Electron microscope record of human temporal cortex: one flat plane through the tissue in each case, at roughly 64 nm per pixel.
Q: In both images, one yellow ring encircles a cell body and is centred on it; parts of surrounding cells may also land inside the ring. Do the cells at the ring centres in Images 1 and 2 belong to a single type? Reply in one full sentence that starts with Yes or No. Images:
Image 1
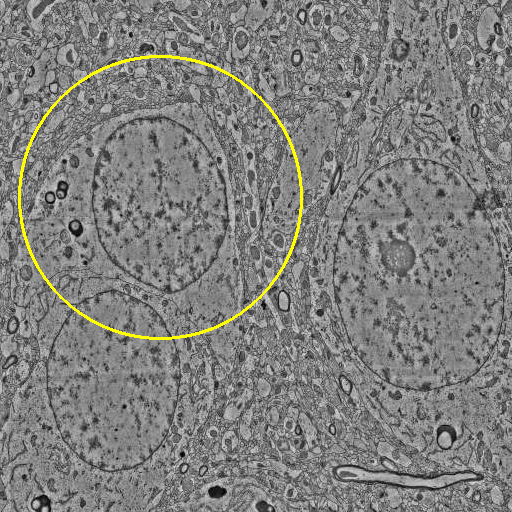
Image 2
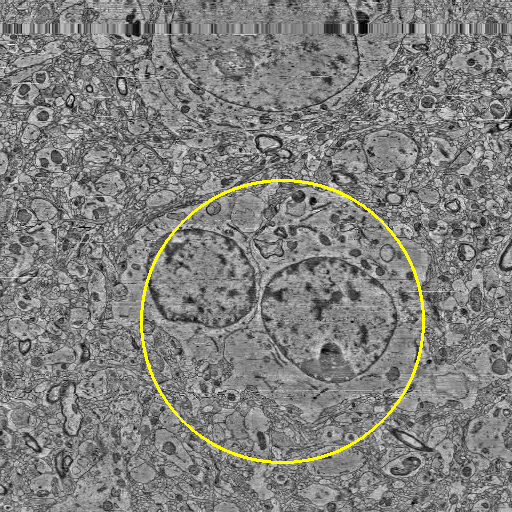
No, the cells at the ring centres in Images 1 and 2 are of two types.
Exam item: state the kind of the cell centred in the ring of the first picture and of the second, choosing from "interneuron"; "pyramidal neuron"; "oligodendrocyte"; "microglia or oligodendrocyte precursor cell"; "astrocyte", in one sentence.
The first picture shows a pyramidal neuron at the ring centre and the second shows an astrocyte.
